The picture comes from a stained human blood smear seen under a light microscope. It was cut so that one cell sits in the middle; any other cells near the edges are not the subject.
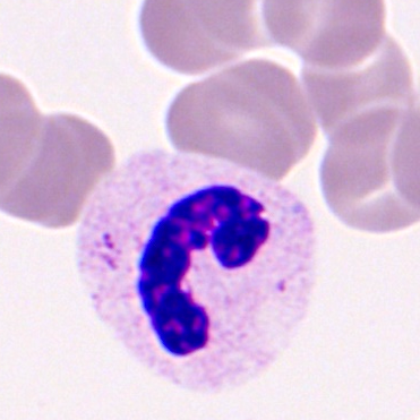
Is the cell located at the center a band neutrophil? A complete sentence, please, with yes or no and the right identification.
Yes, it is a band neutrophil that is seen at the centre of the crop.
